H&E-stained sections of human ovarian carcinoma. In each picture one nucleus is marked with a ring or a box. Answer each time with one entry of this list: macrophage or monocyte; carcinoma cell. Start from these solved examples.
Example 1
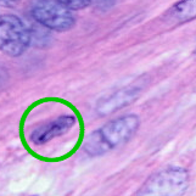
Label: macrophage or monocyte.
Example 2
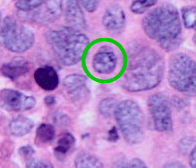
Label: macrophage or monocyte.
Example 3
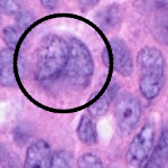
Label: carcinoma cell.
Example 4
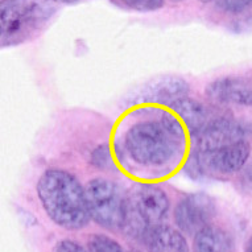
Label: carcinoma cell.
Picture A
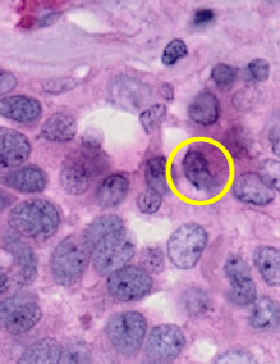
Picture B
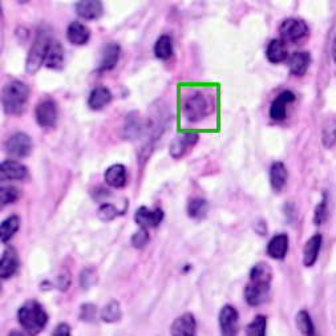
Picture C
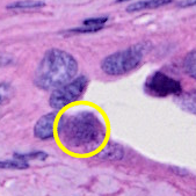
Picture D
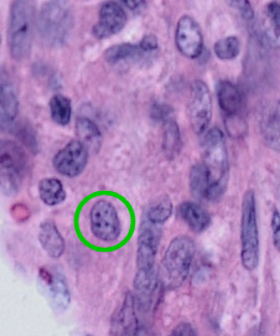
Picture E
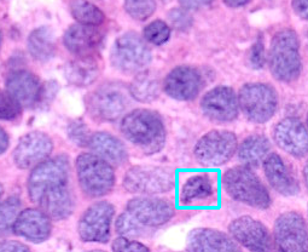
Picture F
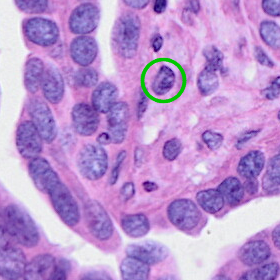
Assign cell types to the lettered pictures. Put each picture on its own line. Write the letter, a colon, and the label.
A: macrophage or monocyte.
B: macrophage or monocyte.
C: carcinoma cell.
D: macrophage or monocyte.
E: macrophage or monocyte.
F: macrophage or monocyte.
